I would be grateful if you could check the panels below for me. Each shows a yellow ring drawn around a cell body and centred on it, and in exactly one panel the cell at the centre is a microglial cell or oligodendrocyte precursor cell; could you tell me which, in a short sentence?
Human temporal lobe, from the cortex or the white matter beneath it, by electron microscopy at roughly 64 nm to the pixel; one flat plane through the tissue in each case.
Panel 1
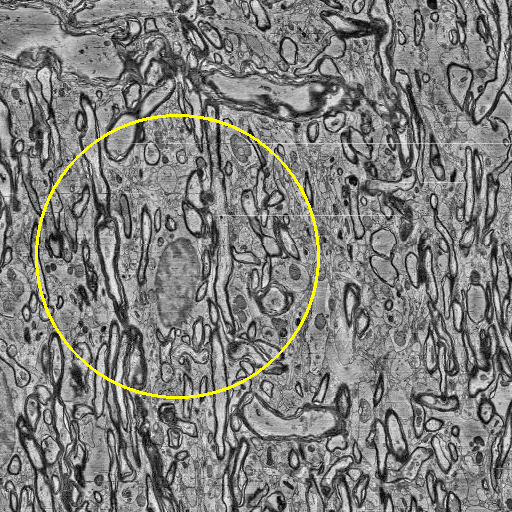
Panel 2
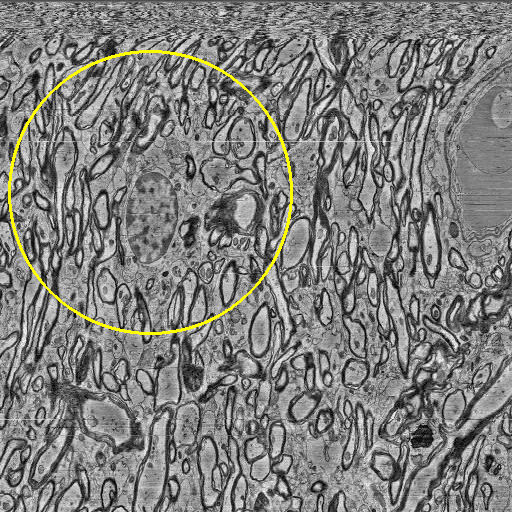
The ring in Panel 2 is centred on it.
